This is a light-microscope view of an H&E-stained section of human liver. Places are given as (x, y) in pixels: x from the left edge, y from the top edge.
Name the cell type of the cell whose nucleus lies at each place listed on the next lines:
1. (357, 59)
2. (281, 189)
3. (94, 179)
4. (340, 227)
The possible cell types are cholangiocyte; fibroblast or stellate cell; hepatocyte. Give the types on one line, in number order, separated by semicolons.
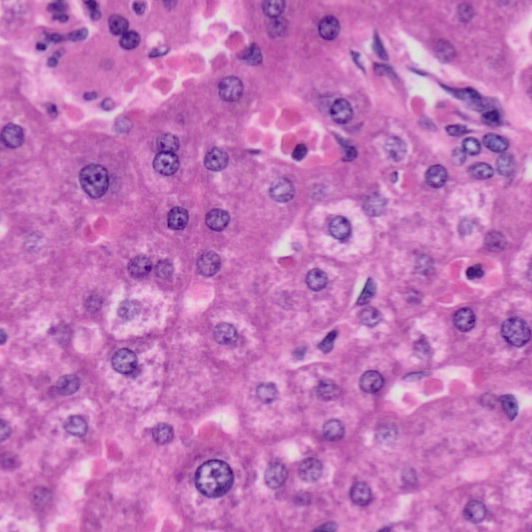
fibroblast or stellate cell; hepatocyte; hepatocyte; hepatocyte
